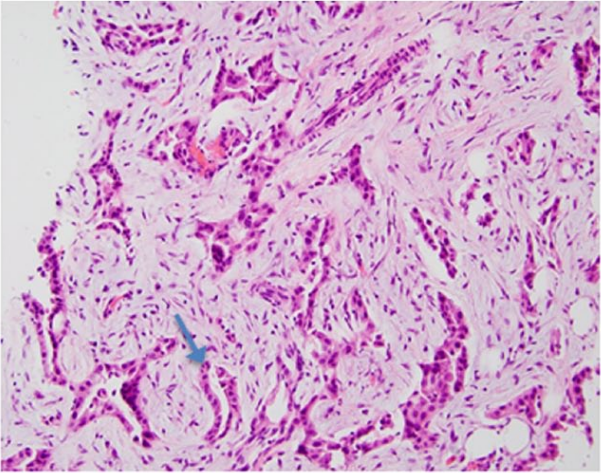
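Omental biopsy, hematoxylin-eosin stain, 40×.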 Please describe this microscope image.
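The tumor cells have dark purple, crowded nuclei and scant pink cytoplasm, and they line narrow clefts and spaces that resemble glands. Between the cell groups lies pale pink fibrous stroma with spindle-shaped nuclei, and round empty fat cells are scattered at the edge. An arrow marks one of the cleft-like spaces lined by a single row of tumor cells.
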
